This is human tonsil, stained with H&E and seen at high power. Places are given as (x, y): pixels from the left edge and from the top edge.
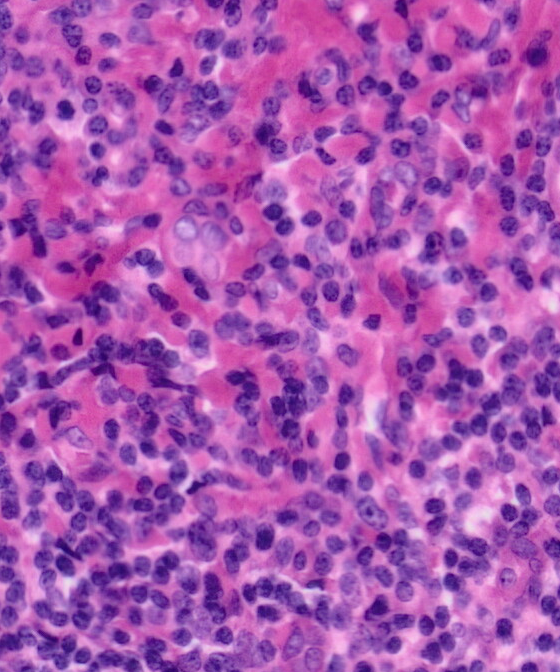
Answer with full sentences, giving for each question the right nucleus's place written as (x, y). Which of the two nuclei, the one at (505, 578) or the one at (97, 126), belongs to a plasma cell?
The nucleus of a plasma cell lies at (97, 126), not at the other position.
